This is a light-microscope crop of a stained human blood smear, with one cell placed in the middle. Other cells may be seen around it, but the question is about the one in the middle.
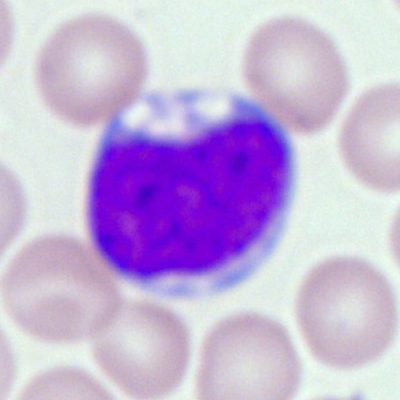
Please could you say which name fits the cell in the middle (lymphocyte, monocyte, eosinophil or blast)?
blast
